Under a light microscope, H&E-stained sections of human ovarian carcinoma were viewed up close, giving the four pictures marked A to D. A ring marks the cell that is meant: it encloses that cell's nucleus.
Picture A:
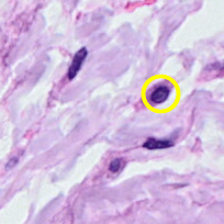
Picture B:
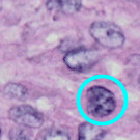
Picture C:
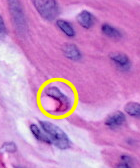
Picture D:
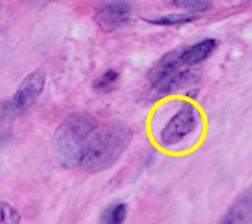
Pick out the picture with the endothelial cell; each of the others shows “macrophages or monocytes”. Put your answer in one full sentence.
The endothelial cell is the one in picture C.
